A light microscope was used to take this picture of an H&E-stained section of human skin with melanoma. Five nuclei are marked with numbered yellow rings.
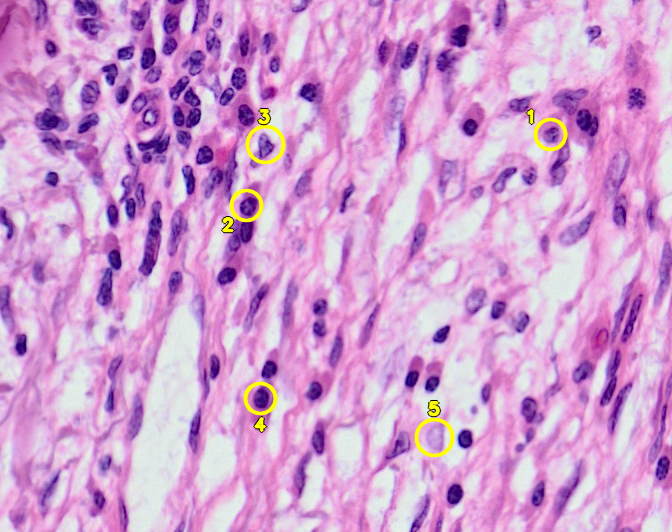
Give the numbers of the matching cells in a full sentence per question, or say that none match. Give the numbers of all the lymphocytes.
The nucleus labelled 3 alone belongs to a lymphocyte; the other marked nuclei do not.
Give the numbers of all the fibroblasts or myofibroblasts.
The sole numbered cell that is a fibroblast or myofibroblast is cell 5.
